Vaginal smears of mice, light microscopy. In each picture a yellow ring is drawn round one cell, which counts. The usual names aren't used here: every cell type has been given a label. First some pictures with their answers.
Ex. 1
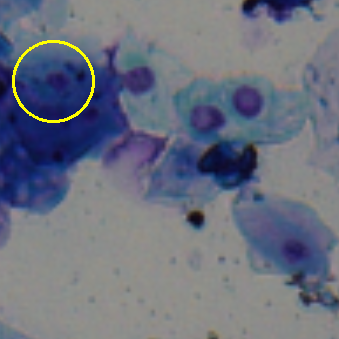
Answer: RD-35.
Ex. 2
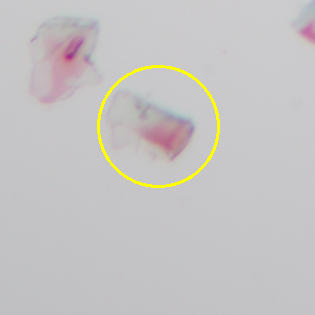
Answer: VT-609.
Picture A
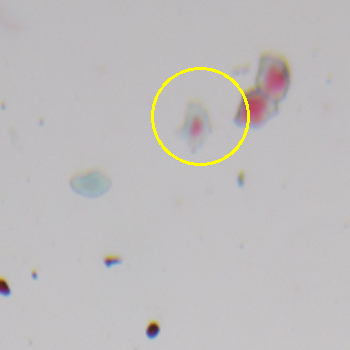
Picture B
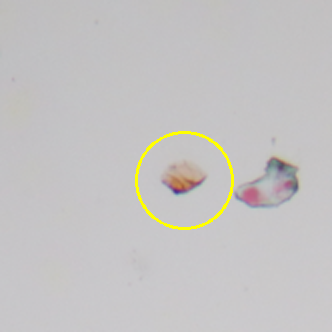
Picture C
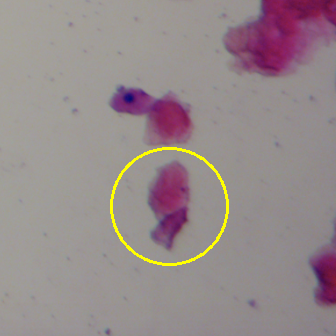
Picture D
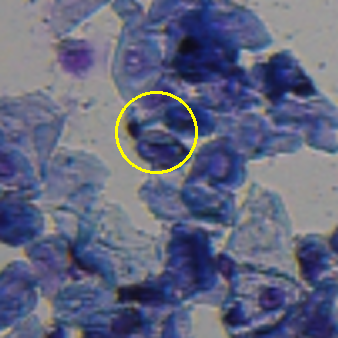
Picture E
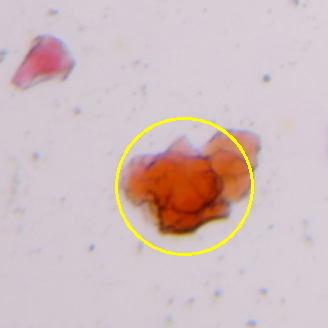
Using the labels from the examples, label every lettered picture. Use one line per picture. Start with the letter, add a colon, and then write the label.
A: RD-35.
B: VT-609.
C: VT-609.
D: RD-35.
E: VT-609.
